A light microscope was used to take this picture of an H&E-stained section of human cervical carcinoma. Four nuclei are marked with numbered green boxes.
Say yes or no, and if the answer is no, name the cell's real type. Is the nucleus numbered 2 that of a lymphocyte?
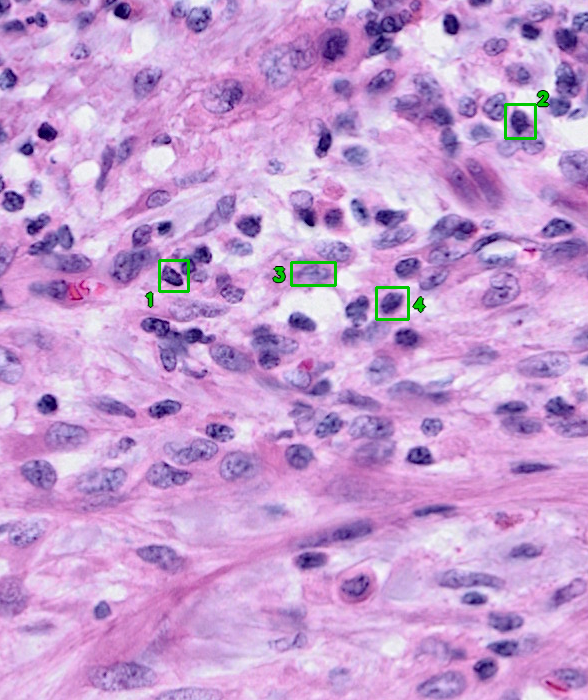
Yes.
